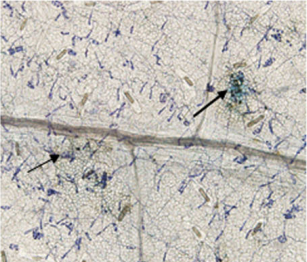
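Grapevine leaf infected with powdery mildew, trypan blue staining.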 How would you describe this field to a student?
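A cleared leaf surface shows a vein crossing the field and many short, dark blue threads spread over the tissue, with elongated brownish structures scattered among them. In a few places the tissue forms compact patches stained dark blue-green, denser than their surroundings.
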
